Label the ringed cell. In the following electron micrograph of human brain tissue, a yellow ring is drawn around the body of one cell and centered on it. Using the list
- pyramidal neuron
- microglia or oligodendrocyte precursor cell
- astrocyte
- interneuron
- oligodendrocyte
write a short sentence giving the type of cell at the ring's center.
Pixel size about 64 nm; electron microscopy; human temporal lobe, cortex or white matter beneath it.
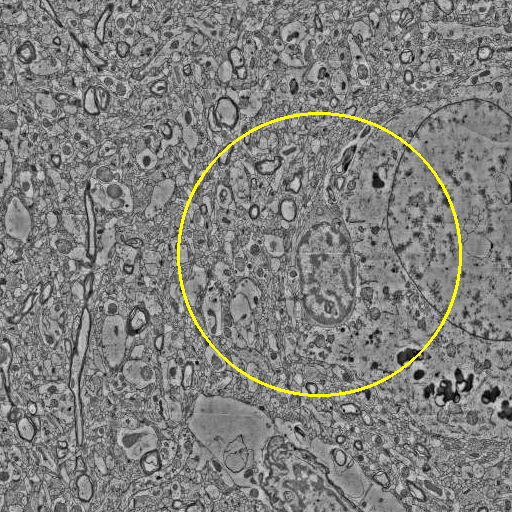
The cell body at the ring's center is that of an oligodendrocyte.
